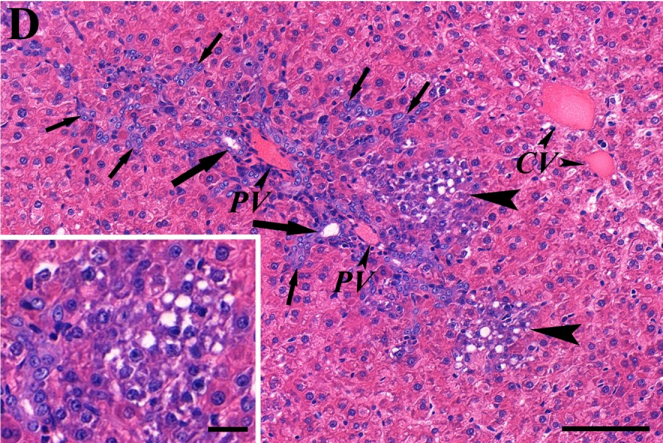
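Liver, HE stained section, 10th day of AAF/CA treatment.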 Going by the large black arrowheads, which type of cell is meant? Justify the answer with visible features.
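Basophilic small hepatocyte groups. Clusters of small cells with purple-blue cytoplasm lie among the larger pink hepatocytes. The clustered cells have round nuclei and are smaller than the surrounding hepatocytes. The clusters lie next to the strands of dark cells that spread from the portal area.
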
